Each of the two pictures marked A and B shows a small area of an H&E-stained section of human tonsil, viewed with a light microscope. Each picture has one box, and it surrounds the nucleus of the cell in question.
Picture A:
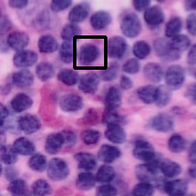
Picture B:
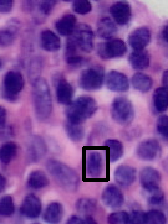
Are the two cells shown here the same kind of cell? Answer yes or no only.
no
